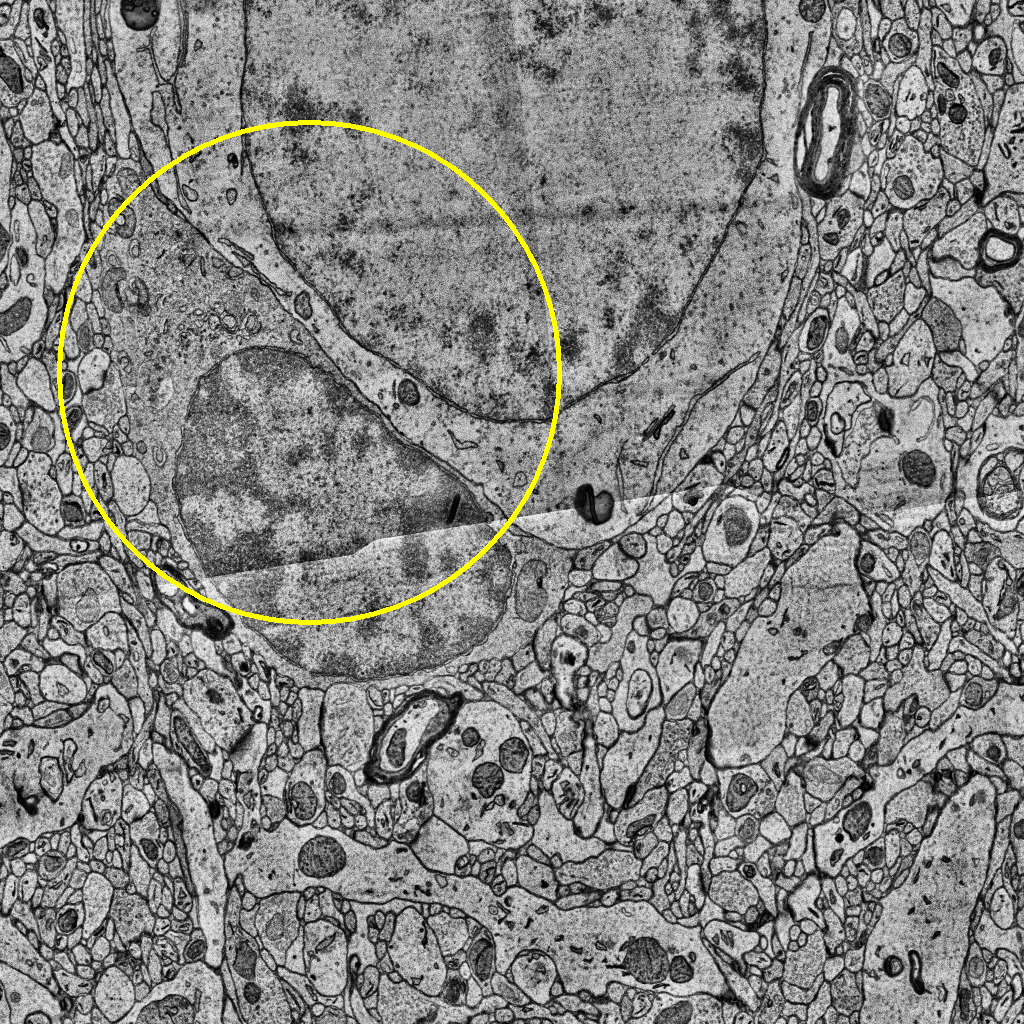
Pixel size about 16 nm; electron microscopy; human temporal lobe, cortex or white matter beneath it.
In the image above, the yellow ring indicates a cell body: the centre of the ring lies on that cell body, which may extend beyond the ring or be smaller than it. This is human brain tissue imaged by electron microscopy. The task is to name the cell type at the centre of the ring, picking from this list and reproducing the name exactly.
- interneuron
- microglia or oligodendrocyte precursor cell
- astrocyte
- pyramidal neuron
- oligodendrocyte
oligodendrocyte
